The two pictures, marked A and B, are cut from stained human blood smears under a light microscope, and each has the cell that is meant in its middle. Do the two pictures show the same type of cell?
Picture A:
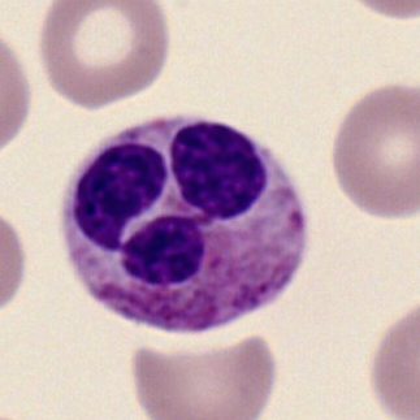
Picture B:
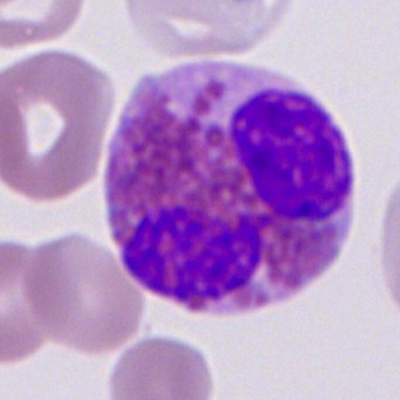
yes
